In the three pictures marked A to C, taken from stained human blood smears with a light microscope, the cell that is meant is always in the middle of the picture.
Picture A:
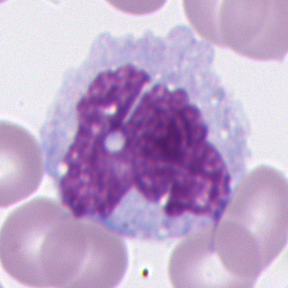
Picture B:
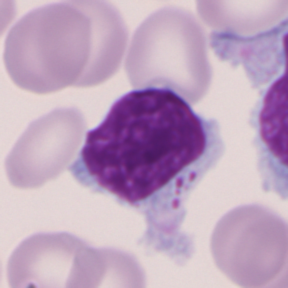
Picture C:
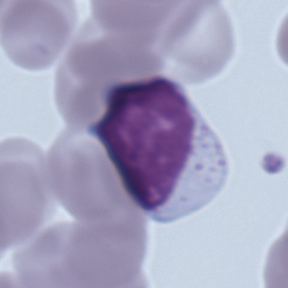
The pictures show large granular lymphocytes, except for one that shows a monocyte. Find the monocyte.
A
